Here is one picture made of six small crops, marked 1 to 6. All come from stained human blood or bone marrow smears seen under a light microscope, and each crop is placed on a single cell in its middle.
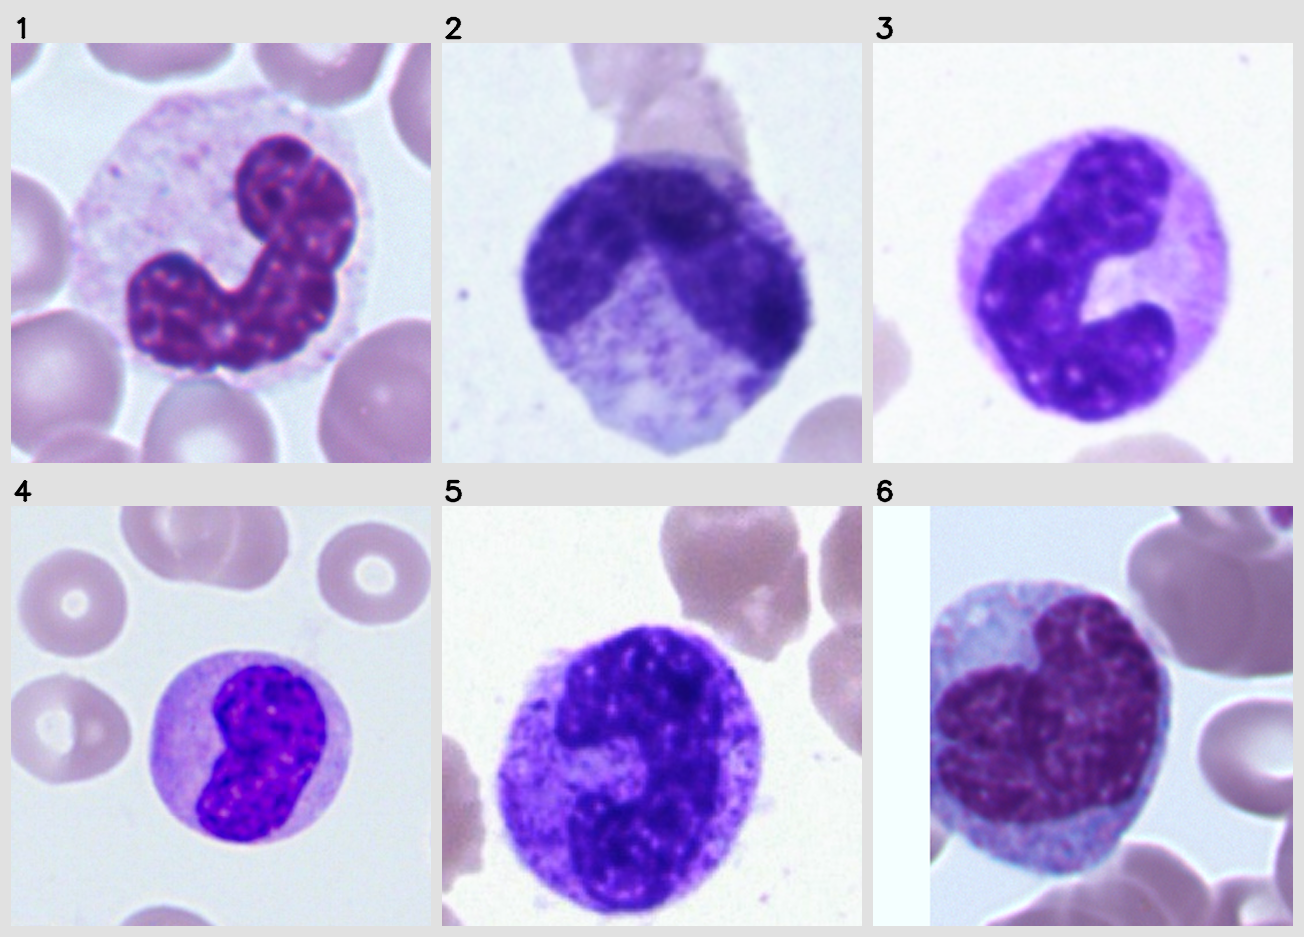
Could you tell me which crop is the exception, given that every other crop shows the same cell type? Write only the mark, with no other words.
6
